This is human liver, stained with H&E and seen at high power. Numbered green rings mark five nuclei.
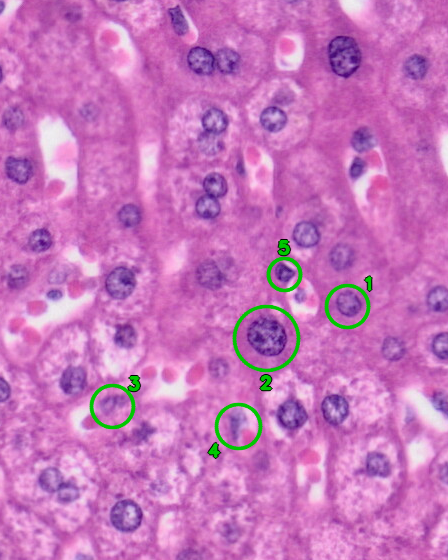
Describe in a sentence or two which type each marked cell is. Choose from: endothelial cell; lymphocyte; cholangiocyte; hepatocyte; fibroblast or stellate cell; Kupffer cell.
Cell 1 is a hepatocyte, cell 2 is a hepatocyte, cell 3 is a Kupffer cell, cell 4 is an endothelial cell and cell 5 is a fibroblast or stellate cell.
